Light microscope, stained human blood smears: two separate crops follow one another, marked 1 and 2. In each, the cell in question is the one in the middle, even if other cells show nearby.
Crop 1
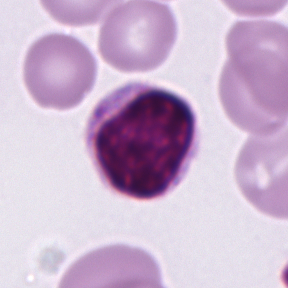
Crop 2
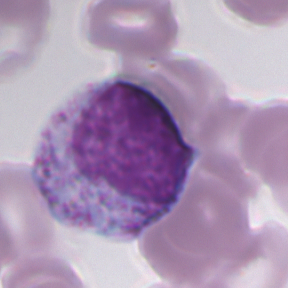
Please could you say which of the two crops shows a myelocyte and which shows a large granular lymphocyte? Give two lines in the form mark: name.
1: large granular lymphocyte
2: myelocyte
